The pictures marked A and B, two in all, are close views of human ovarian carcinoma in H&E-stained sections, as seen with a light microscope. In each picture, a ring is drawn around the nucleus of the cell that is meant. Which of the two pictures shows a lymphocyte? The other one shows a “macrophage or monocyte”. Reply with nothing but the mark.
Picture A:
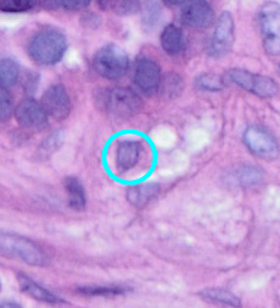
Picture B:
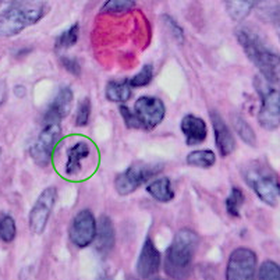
B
